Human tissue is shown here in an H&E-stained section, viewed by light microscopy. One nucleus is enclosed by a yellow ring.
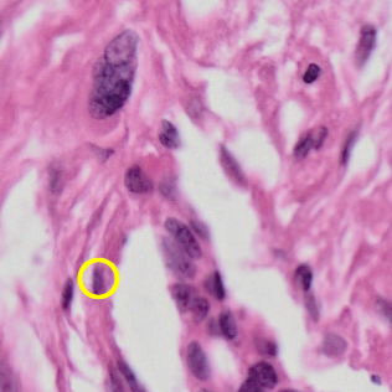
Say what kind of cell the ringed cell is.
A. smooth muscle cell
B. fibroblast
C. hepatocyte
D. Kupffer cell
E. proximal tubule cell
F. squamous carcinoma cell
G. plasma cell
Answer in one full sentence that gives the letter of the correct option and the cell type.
The correct response is option B: the ringed cell is a fibroblast.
